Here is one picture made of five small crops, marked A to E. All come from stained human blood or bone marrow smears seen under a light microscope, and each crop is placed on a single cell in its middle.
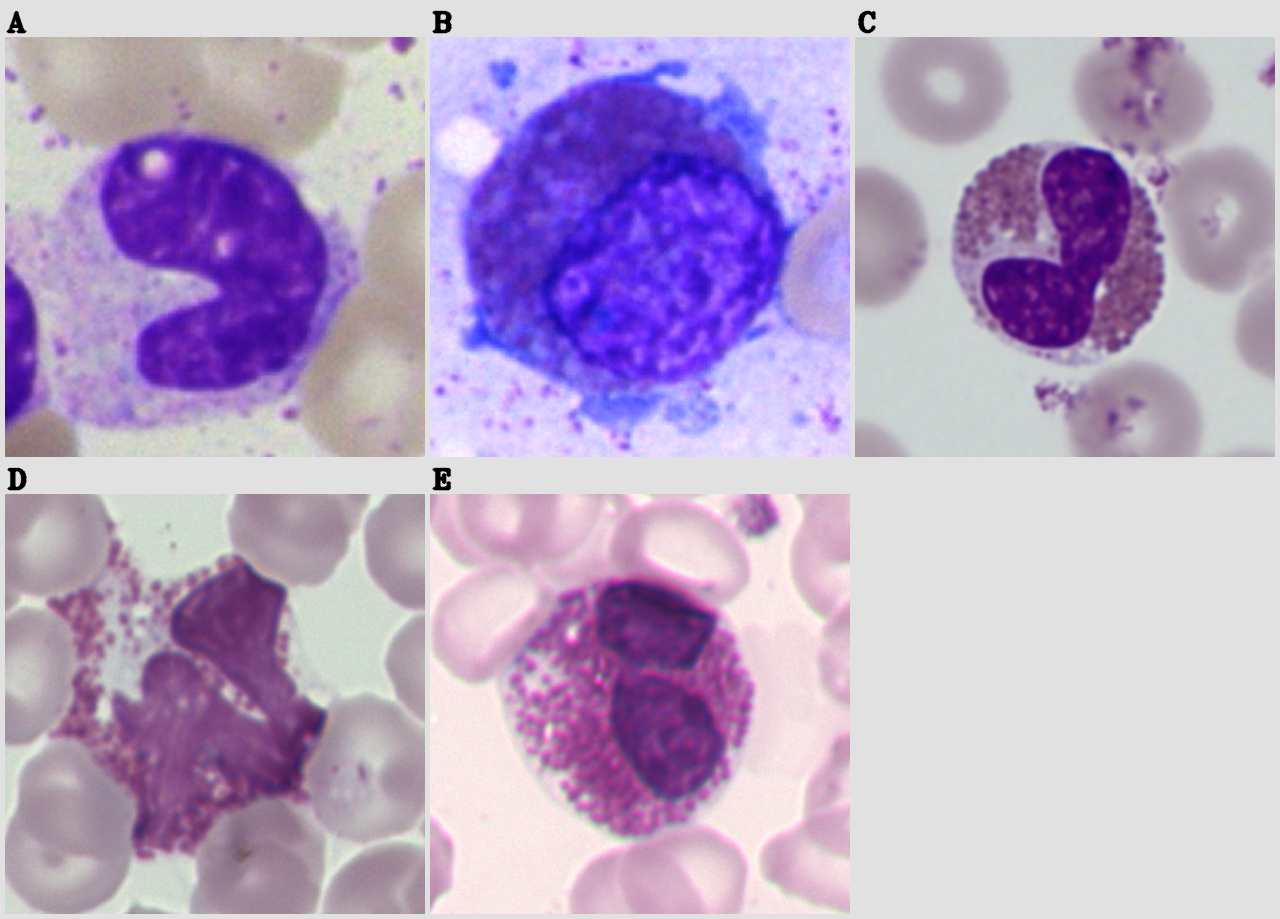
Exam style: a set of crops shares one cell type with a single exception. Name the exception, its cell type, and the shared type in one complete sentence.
Crop A differs: it is a band neutrophil, and all the other crops show eosinophils.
